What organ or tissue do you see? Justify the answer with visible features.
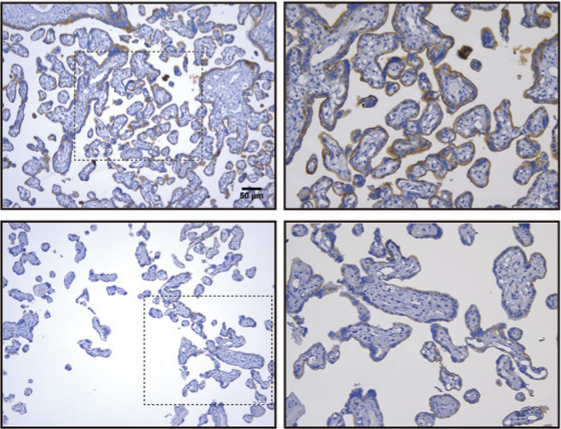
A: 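Many rounded and branching tissue profiles in cross-section separated by empty space. Each profile has a loose core with scattered blue nuclei and a thin covering layer at its surface.
Placental villus tissue.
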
